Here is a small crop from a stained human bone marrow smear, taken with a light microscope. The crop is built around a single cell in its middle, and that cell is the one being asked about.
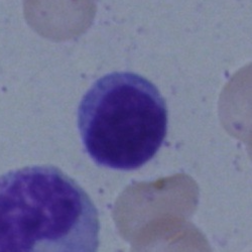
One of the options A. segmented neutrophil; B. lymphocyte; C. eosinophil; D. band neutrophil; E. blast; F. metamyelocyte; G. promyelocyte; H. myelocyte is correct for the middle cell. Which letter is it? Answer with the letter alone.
B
